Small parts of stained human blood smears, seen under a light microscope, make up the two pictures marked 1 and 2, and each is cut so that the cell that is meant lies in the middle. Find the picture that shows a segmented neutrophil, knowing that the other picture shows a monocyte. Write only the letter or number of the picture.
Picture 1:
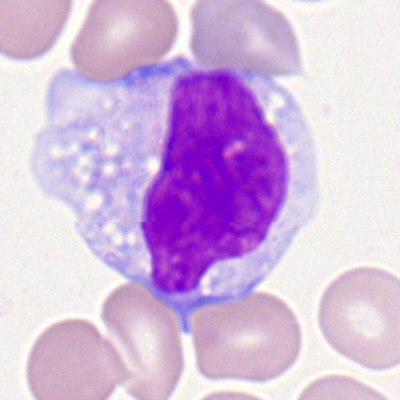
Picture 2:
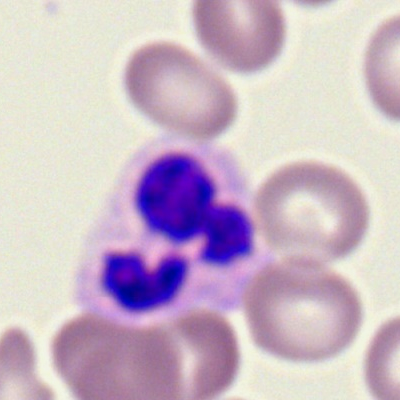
2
